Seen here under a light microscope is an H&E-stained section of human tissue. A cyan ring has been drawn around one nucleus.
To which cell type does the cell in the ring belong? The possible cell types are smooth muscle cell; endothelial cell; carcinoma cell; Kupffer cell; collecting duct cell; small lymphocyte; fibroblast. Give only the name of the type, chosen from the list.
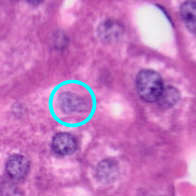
Kupffer cell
